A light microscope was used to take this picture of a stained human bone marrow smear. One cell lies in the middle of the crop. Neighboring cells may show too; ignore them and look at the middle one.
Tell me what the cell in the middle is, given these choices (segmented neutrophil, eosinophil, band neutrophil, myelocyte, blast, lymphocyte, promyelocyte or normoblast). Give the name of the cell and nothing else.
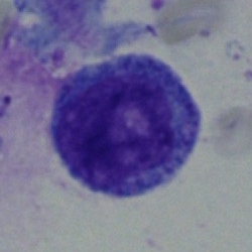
promyelocyte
